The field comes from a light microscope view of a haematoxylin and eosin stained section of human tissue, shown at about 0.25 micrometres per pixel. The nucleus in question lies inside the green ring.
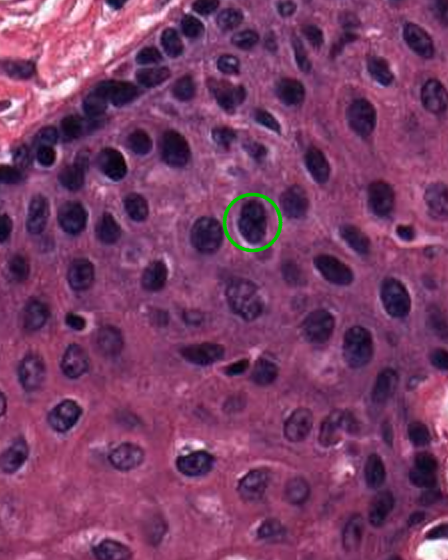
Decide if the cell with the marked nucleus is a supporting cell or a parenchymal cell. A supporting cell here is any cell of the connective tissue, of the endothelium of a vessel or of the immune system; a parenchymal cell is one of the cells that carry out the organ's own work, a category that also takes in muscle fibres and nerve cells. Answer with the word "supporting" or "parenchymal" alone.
parenchymal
